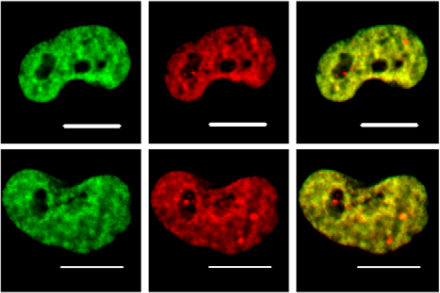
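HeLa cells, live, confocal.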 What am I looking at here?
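The green fills the nucleus in a speckled pattern with several dark holes left empty. The red follows much the same pattern but also forms a few small bright dots. In the overlay most of the nucleus is yellow, while the bright dots stand out as red or orange.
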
